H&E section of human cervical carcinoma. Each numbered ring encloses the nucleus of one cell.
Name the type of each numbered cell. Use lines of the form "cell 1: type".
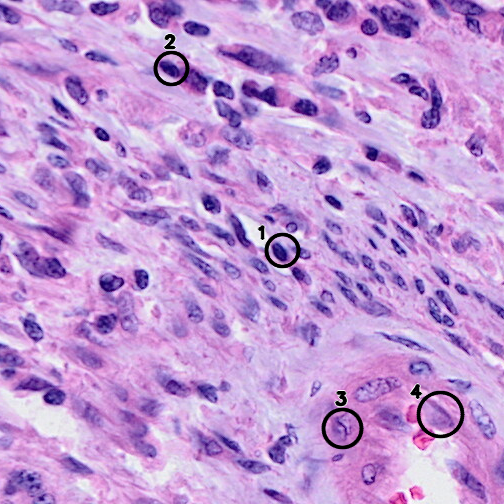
cell 1: lymphocyte
cell 2: lymphocyte
cell 3: smooth muscle cell
cell 4: endothelial cell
